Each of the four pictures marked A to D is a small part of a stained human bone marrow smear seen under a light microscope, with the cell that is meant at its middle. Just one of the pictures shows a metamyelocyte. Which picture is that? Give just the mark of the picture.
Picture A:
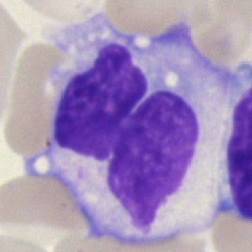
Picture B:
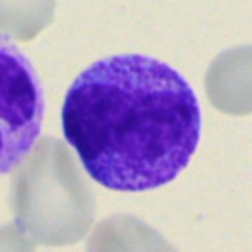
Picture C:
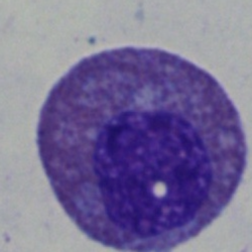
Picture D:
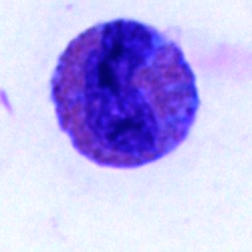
B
